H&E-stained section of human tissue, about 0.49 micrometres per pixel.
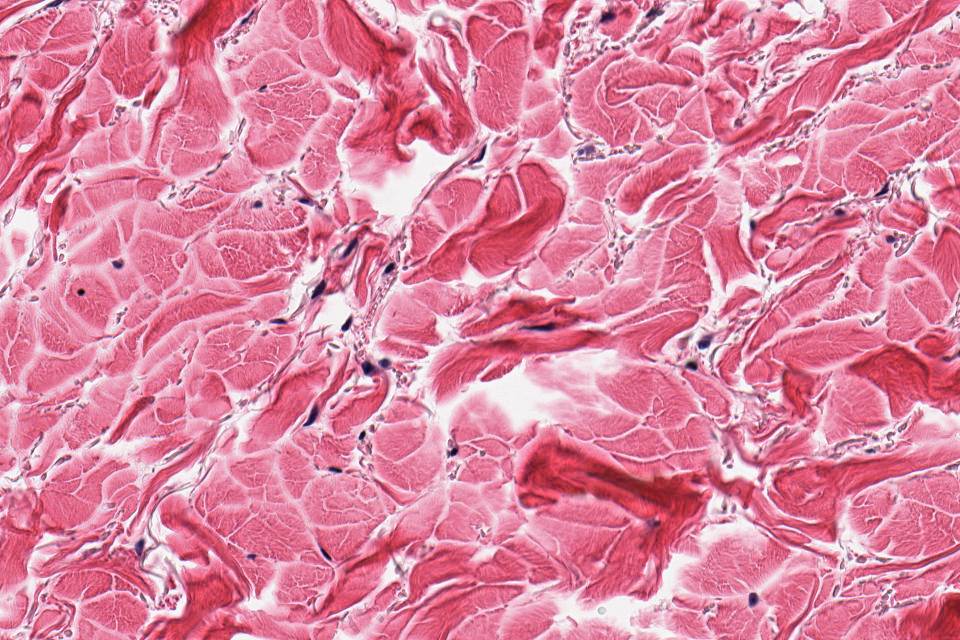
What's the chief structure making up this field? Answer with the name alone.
dermis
